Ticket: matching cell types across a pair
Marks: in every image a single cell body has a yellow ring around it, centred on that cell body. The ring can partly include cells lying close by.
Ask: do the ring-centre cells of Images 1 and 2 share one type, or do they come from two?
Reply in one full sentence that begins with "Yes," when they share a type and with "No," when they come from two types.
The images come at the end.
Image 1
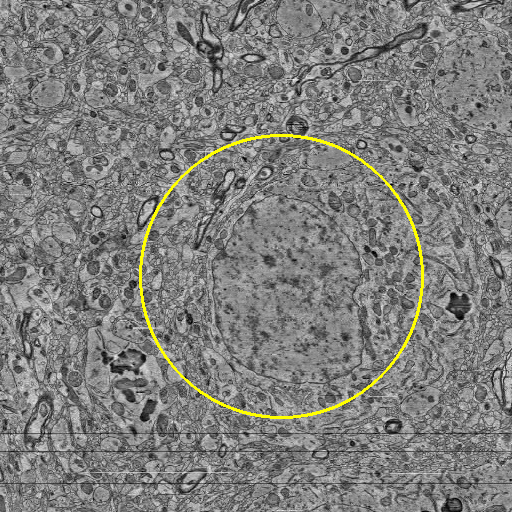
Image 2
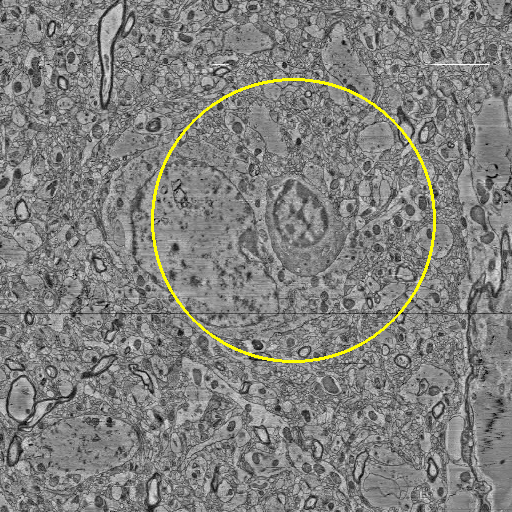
No, the cells in the centres of the rings in Image 1 and Image 2 come from two types.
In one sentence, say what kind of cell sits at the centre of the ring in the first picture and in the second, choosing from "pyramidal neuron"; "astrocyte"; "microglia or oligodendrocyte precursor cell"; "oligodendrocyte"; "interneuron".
The first picture's ringed cell is an interneuron, while the second picture's is an oligodendrocyte.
